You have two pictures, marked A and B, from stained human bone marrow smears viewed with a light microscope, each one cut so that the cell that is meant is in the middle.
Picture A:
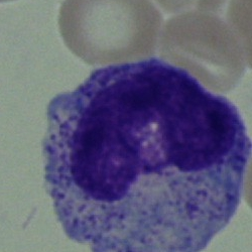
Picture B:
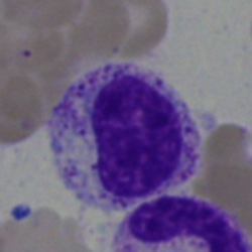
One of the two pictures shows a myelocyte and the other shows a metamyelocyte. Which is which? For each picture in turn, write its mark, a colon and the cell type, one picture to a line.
A: metamyelocyte
B: myelocyte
